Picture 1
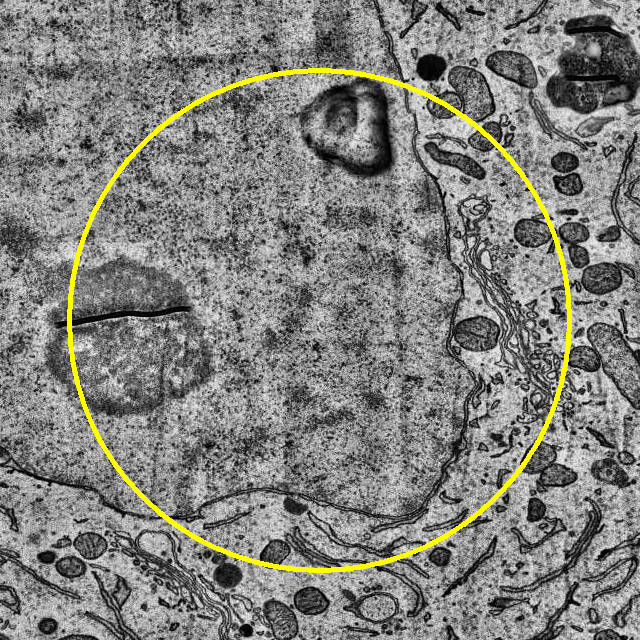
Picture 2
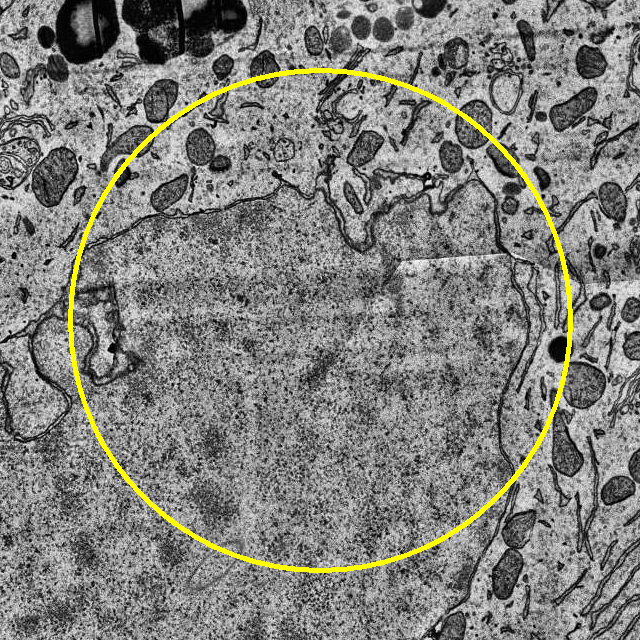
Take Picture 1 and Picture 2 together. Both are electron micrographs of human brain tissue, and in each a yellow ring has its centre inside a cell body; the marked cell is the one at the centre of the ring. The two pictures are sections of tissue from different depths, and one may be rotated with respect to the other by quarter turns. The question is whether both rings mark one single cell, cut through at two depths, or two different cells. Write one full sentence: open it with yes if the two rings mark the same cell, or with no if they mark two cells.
Yes, the rings do not mark different cells but one cell.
